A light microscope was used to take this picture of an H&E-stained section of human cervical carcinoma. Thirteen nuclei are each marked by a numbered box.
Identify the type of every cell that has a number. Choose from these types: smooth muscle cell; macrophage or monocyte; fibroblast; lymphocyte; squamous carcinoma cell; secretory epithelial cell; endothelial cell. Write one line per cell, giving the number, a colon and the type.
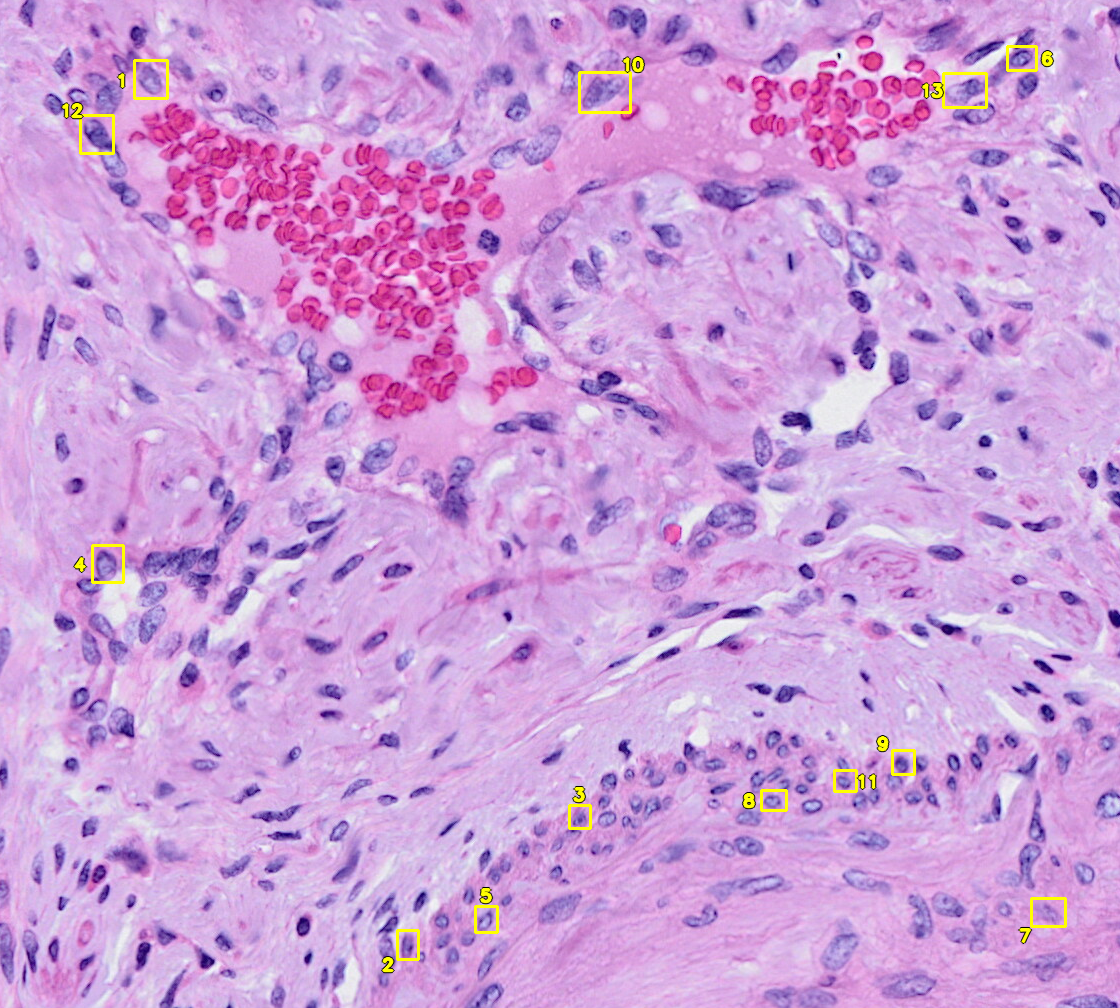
1: endothelial cell
2: smooth muscle cell
3: smooth muscle cell
4: endothelial cell
5: smooth muscle cell
6: endothelial cell
7: smooth muscle cell
8: smooth muscle cell
9: smooth muscle cell
10: endothelial cell
11: smooth muscle cell
12: endothelial cell
13: endothelial cell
